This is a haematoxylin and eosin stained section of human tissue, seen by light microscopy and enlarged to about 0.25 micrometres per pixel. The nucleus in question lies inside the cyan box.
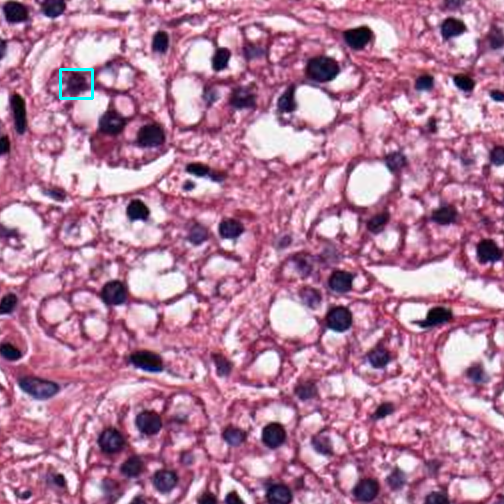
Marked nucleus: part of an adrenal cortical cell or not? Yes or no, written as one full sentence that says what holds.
Yes, the marked nucleus is a part of an adrenal cortical cell.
